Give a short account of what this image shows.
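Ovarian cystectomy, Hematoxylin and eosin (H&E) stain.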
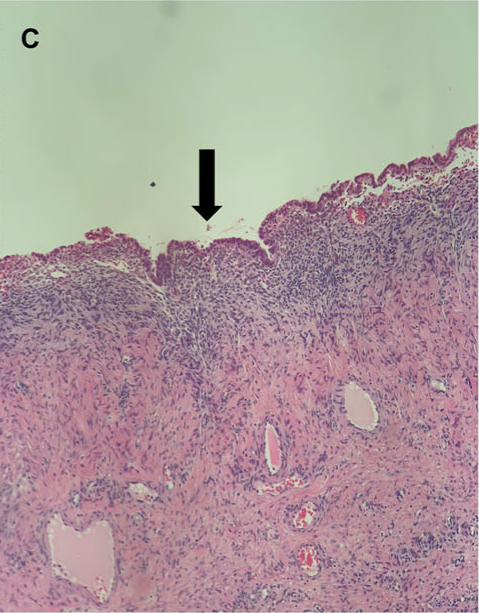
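A thin layer of columnar epithelium lines the inner surface of the cyst. Immediately beneath it is a band of closely packed stromal cells with small, dark nuclei that gives the superficial zone a purple tint. Deeper, the wall becomes pink fibrous tissue with spindle cells. Scattered thin-walled vessels, some filled with red blood cells and some with pale pink fluid, run through this deeper wall.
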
